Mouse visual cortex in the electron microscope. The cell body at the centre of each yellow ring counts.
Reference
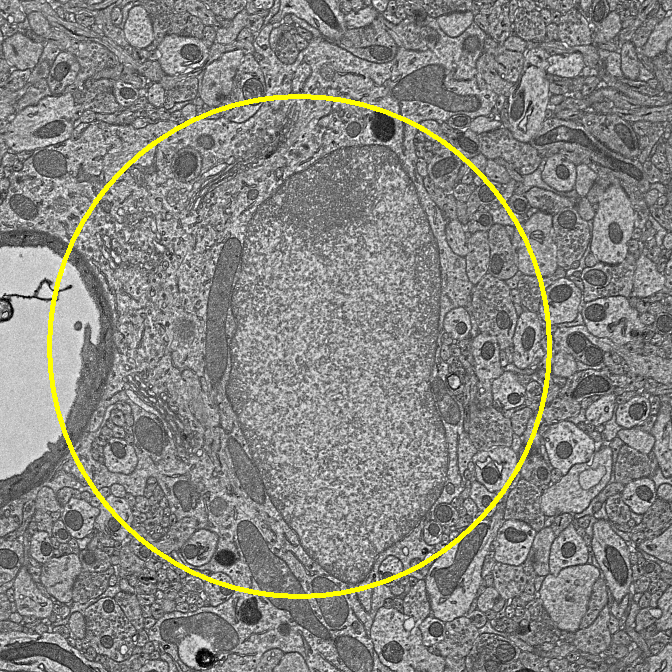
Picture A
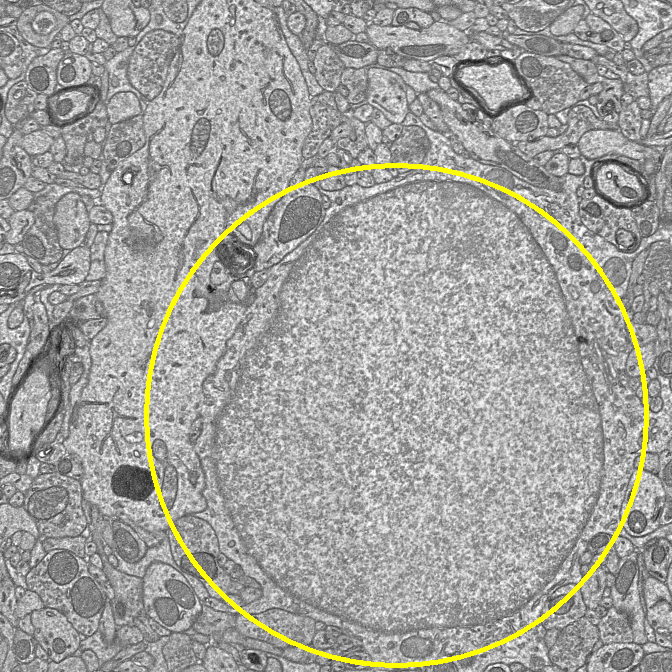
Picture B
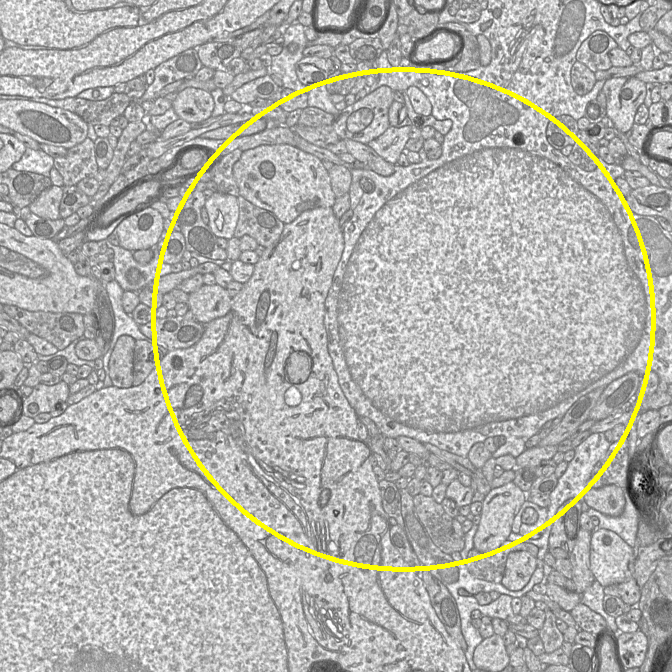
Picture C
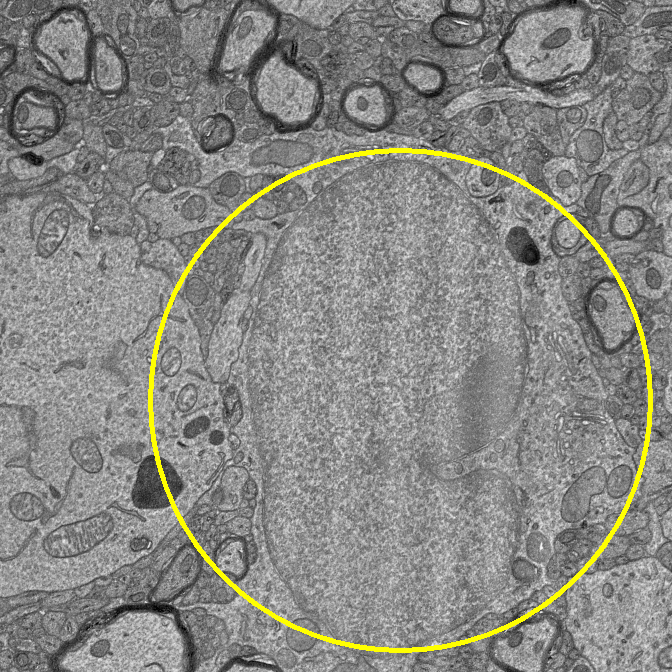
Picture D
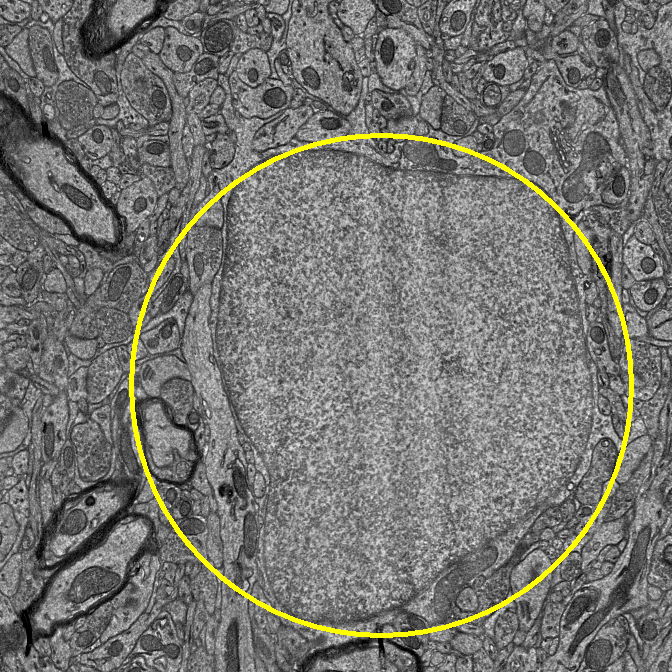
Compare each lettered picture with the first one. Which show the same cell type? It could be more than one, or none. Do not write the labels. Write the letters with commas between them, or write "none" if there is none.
A, B, C, D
